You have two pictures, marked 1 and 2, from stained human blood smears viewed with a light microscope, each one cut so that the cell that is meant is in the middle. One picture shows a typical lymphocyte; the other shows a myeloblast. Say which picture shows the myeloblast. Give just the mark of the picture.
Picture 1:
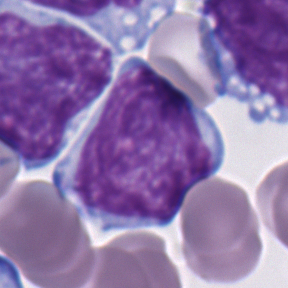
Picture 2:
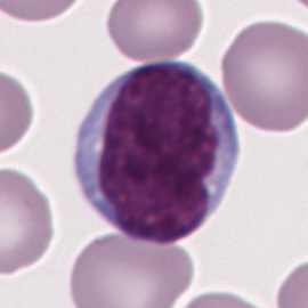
1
